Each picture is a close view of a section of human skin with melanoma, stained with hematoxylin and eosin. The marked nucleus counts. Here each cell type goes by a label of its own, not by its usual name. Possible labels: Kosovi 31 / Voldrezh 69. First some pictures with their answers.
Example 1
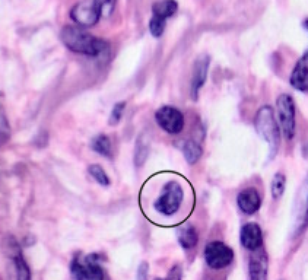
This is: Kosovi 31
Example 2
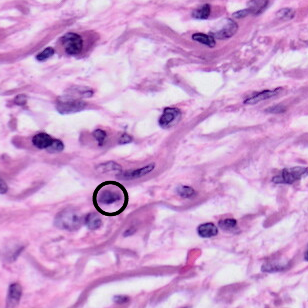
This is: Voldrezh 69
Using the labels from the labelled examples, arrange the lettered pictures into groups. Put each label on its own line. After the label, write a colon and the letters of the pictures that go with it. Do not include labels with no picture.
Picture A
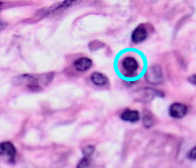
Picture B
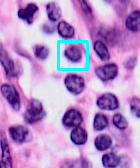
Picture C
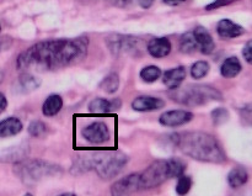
Kosovi 31: B, C
Voldrezh 69: A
